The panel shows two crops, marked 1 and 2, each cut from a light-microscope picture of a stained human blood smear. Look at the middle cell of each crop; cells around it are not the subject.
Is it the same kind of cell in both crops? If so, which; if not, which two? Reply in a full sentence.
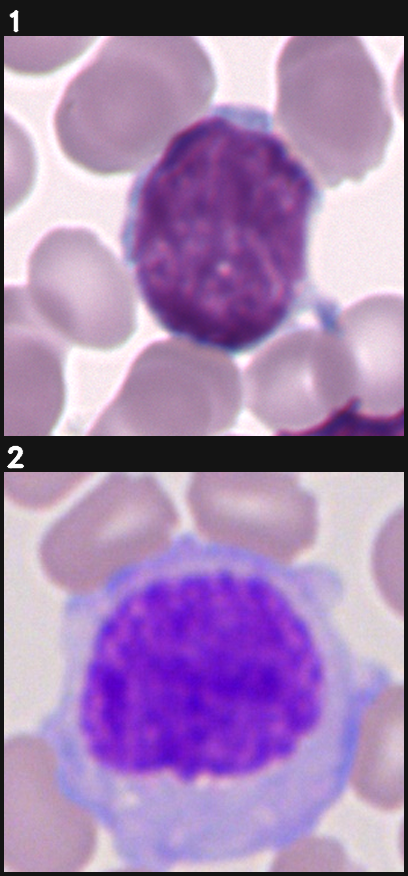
No, look again: crop 1 shows a lymphocyte, and crop 2 shows a monocyte.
